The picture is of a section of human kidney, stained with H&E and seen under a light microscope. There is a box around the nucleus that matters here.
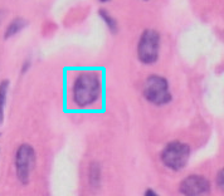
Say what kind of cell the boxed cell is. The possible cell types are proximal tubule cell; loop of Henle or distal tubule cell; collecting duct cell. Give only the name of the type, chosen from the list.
proximal tubule cell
